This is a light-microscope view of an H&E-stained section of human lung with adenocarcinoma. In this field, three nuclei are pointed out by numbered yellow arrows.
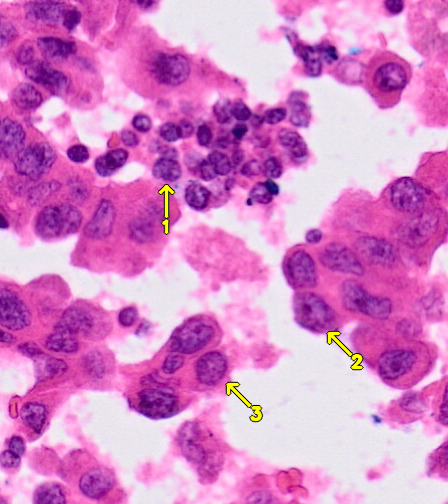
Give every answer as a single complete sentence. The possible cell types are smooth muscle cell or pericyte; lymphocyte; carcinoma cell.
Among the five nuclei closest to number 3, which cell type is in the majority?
Carcinoma cells account for more than half of the five nuclei nearest to number 3.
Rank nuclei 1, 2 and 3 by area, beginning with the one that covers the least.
Smallest first, the nuclei run 1, 3, 2.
